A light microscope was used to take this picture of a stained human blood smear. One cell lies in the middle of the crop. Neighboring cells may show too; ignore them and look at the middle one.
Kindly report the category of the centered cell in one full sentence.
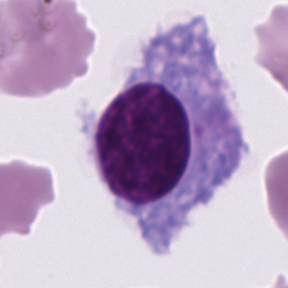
The single cell at the center of the crop is a hairy cell.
